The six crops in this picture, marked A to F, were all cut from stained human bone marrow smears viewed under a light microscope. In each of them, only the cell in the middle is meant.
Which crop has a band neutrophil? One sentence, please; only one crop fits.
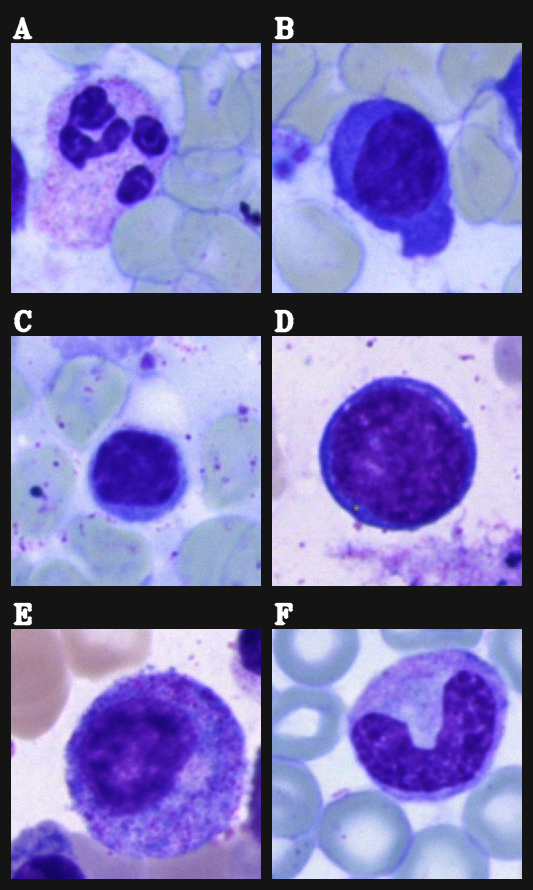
The one crop that shows a band neutrophil is crop F.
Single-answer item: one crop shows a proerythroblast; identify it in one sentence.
So the crop with a proerythroblast at its center is crop D.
